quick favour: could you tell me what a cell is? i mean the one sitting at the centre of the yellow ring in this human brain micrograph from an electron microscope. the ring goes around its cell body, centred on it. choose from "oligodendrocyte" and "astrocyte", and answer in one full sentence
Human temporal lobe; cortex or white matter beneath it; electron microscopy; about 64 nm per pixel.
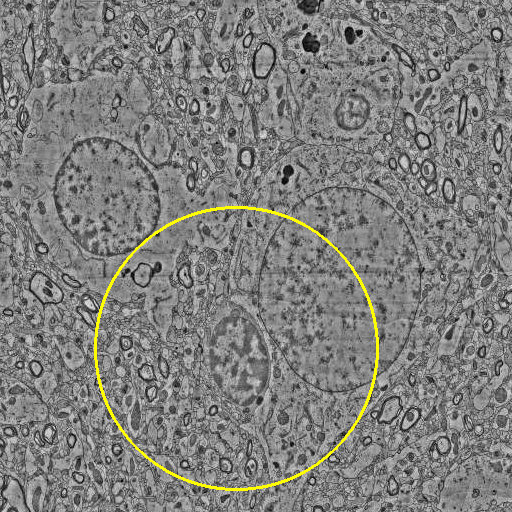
That's an oligodendrocyte, the cell sitting at the centre of the yellow ring.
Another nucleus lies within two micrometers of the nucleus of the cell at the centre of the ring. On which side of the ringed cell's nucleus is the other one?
The other nucleus is situated to the upper right of it.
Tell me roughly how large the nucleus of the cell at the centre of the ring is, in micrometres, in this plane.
The ringed cell's nucleus is about 6 micrometres long and 4 micrometres wide in this plane.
